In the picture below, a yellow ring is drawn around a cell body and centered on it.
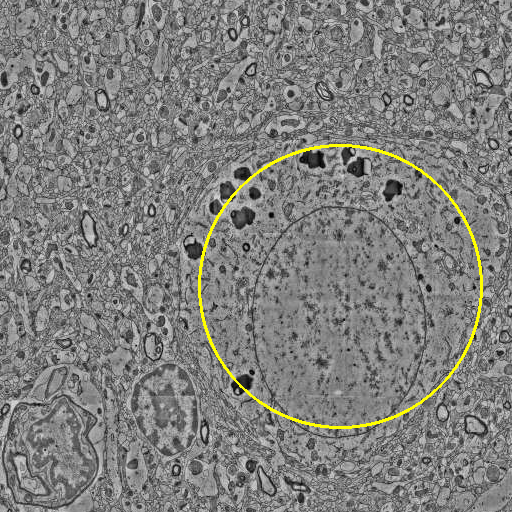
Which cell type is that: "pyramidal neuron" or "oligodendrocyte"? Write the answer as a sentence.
The cell centered in the ring is a pyramidal neuron.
